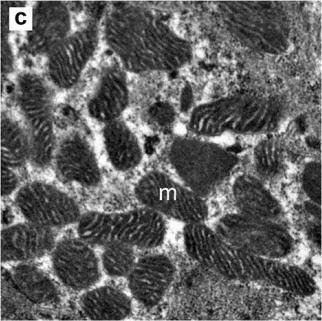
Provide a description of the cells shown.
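Many mitochondria lie closely packed in the cytoplasm, most of them oval to elongated and of broadly similar size. Each shows a dark matrix crossed by many thin, closely spaced, roughly parallel pale and dark bands of cristae. Narrow strips of lighter, granular cytoplasm separate the neighbouring mitochondria.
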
